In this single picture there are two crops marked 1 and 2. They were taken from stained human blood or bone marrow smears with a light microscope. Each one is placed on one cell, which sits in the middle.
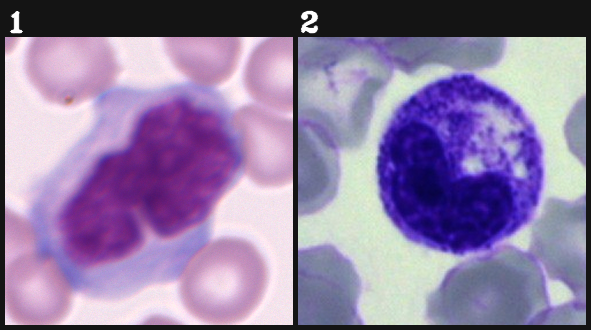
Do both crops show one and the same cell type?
no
